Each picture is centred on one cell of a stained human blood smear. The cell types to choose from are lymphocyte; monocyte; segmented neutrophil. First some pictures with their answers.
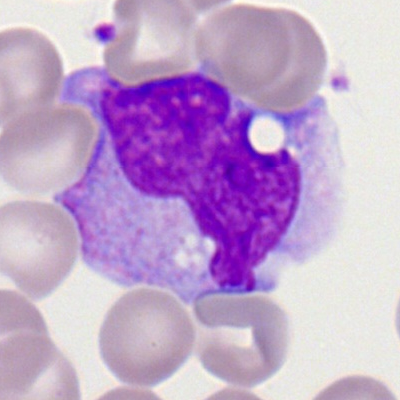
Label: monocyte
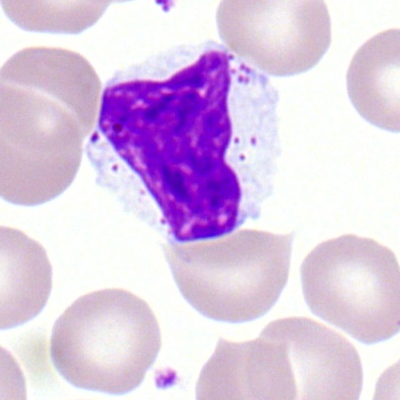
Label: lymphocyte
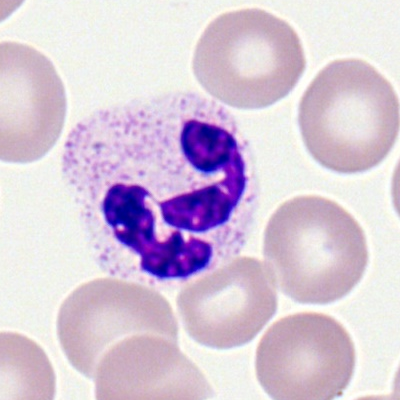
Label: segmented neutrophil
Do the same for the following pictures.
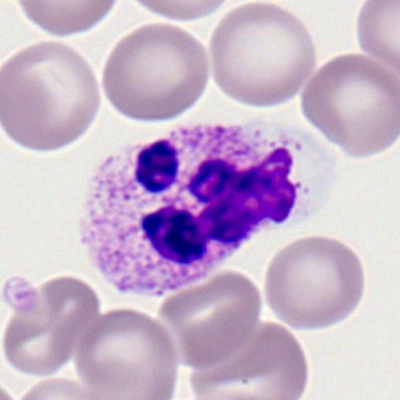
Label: segmented neutrophil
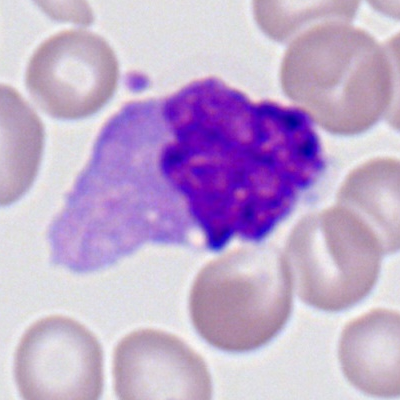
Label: monocyte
